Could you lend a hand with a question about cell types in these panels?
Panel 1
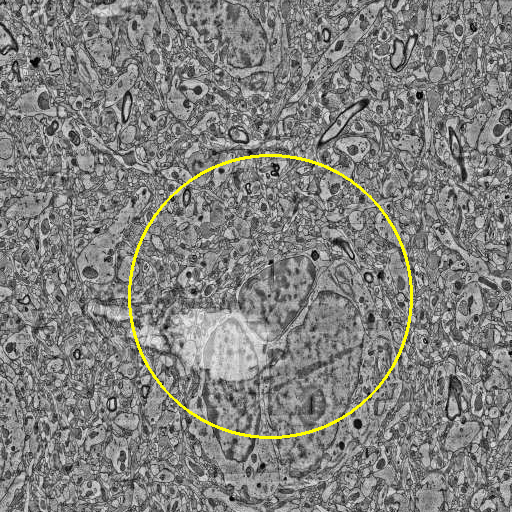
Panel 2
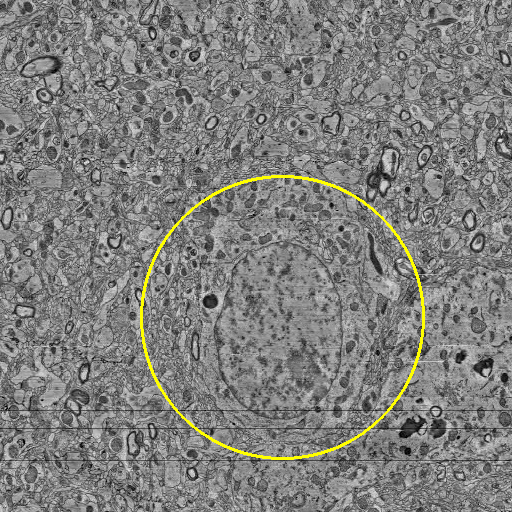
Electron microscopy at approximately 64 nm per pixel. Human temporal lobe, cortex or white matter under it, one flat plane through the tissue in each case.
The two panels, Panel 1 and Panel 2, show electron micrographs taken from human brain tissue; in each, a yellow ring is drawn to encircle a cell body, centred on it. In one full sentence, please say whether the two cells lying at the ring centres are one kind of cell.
No, the cells at the ring centres in the two panels are two kinds of cell.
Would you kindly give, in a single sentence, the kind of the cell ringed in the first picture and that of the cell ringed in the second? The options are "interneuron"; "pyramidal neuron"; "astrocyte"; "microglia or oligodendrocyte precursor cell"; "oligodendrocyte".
The second cell is an interneuron, and the first cell is a microglial cell or oligodendrocyte precursor cell.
